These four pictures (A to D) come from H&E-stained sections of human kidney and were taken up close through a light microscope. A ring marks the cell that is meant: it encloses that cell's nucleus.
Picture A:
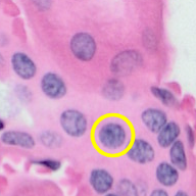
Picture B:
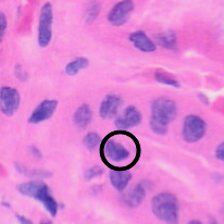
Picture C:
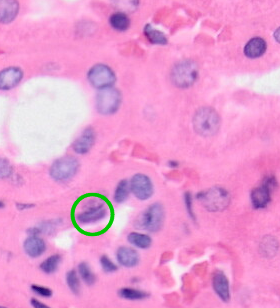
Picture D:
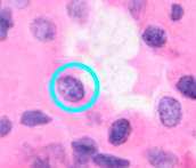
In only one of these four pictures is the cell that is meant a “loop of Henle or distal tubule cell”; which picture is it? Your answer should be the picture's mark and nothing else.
D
